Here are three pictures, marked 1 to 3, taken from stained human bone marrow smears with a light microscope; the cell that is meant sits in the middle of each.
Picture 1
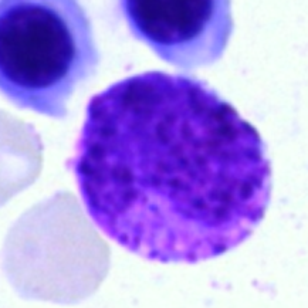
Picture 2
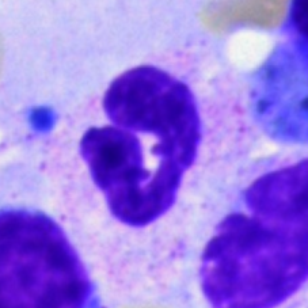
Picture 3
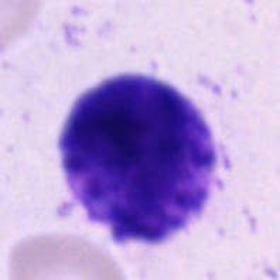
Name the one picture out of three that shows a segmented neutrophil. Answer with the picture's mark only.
2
